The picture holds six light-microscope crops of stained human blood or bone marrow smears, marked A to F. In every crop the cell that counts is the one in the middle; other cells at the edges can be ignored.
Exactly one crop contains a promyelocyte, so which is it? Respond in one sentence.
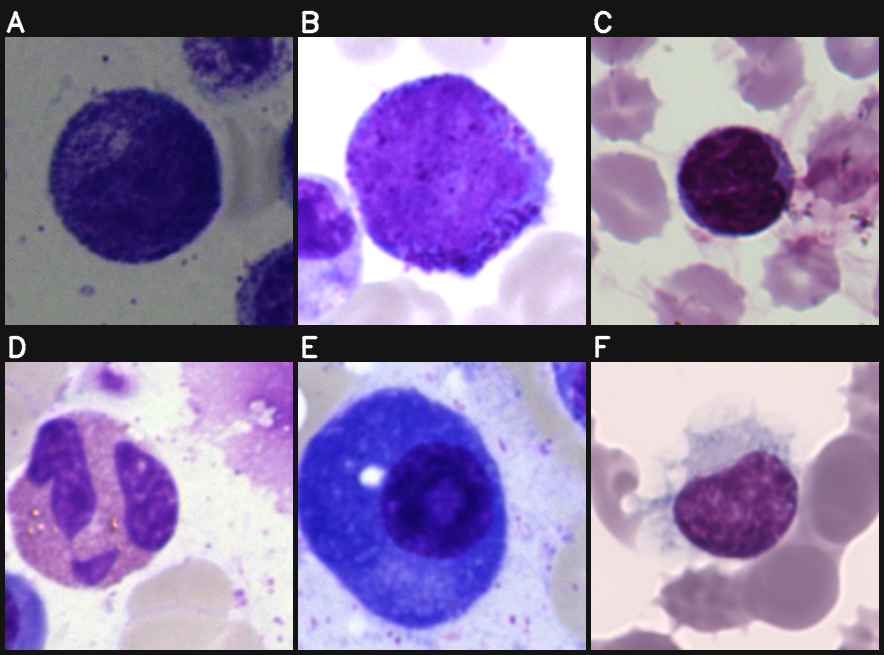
The crop showing a promyelocyte in this series is crop B.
